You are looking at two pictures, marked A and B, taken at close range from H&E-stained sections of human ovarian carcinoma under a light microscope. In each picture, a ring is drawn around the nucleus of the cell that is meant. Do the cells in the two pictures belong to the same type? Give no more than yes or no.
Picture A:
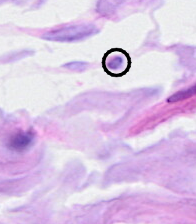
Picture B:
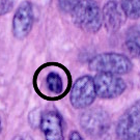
yes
